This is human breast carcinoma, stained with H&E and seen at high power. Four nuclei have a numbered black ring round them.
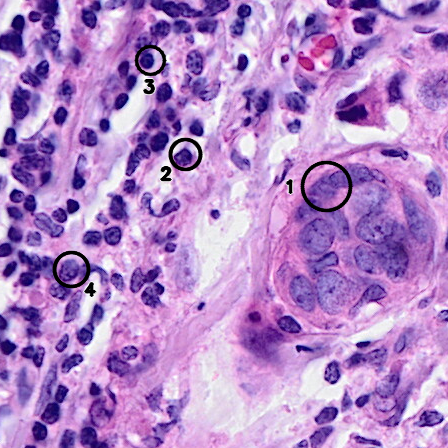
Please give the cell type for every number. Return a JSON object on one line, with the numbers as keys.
{"1": "carcinoma cell", "2": "lymphocyte", "3": "lymphocyte", "4": "lymphocyte"}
